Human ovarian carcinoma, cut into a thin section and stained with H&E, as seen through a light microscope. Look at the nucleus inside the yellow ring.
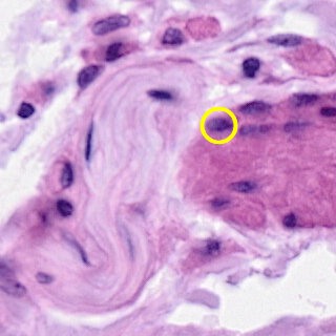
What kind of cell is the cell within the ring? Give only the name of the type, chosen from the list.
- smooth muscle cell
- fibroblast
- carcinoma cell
smooth muscle cell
